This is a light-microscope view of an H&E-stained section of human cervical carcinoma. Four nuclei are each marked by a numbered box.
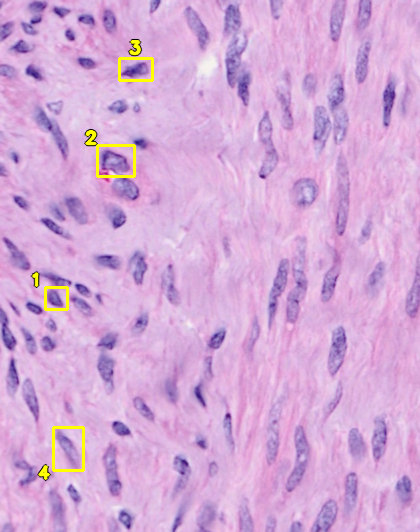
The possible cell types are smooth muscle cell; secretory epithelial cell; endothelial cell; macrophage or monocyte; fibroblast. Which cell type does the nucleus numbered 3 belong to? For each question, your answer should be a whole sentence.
In the tissue shown, cell 3 is a fibroblast.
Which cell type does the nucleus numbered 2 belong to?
The cell identified by the number 2 is an endothelial cell.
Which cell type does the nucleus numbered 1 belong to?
The marked nucleus 1 is that of a smooth muscle cell.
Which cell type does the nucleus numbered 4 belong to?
The cell identified by the number 4 is a smooth muscle cell.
